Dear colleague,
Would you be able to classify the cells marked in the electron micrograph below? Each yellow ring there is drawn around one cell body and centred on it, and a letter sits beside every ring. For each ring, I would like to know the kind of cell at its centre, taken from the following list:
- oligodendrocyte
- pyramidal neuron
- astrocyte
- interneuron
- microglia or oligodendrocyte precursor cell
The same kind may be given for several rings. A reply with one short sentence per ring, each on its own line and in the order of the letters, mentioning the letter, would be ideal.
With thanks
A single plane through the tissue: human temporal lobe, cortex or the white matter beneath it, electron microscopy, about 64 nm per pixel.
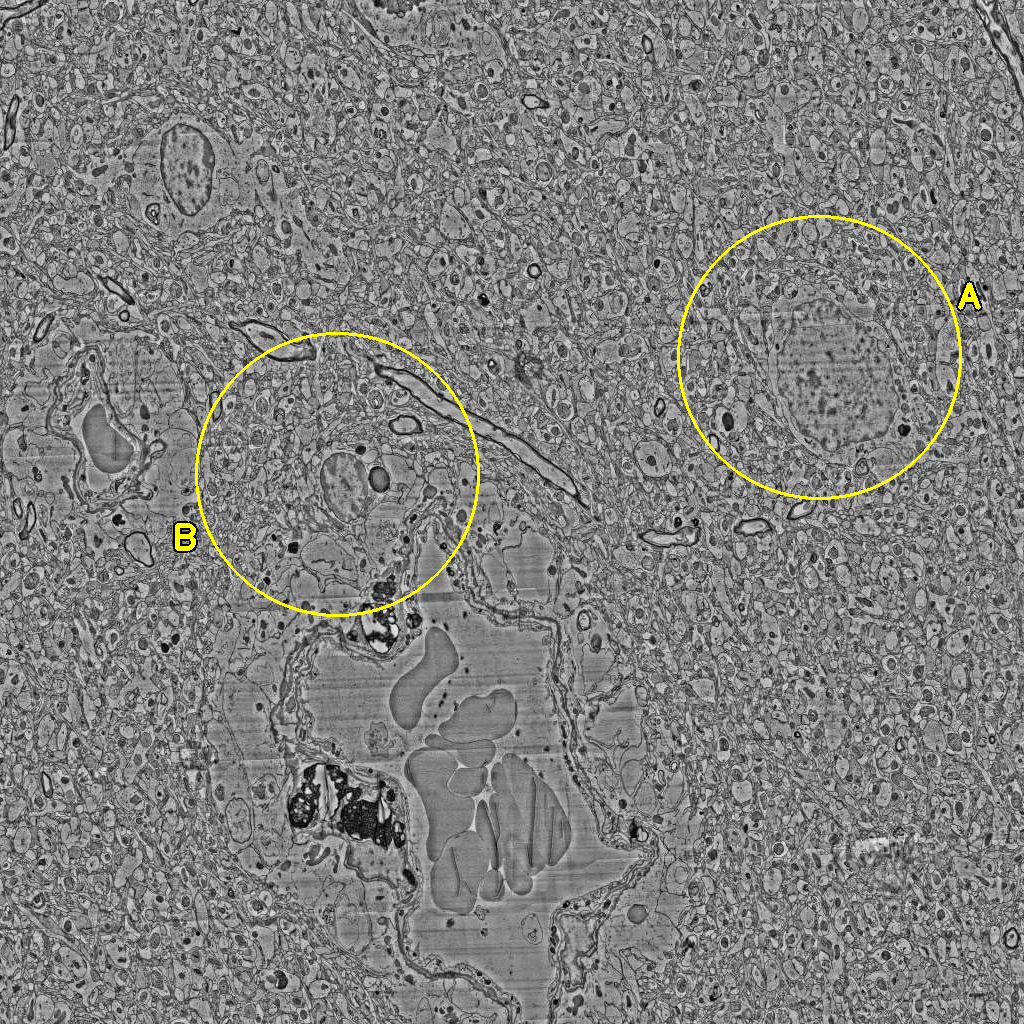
Ring A contains an interneuron at its centre.
Ring B contains a microglial cell or oligodendrocyte precursor cell at its centre.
